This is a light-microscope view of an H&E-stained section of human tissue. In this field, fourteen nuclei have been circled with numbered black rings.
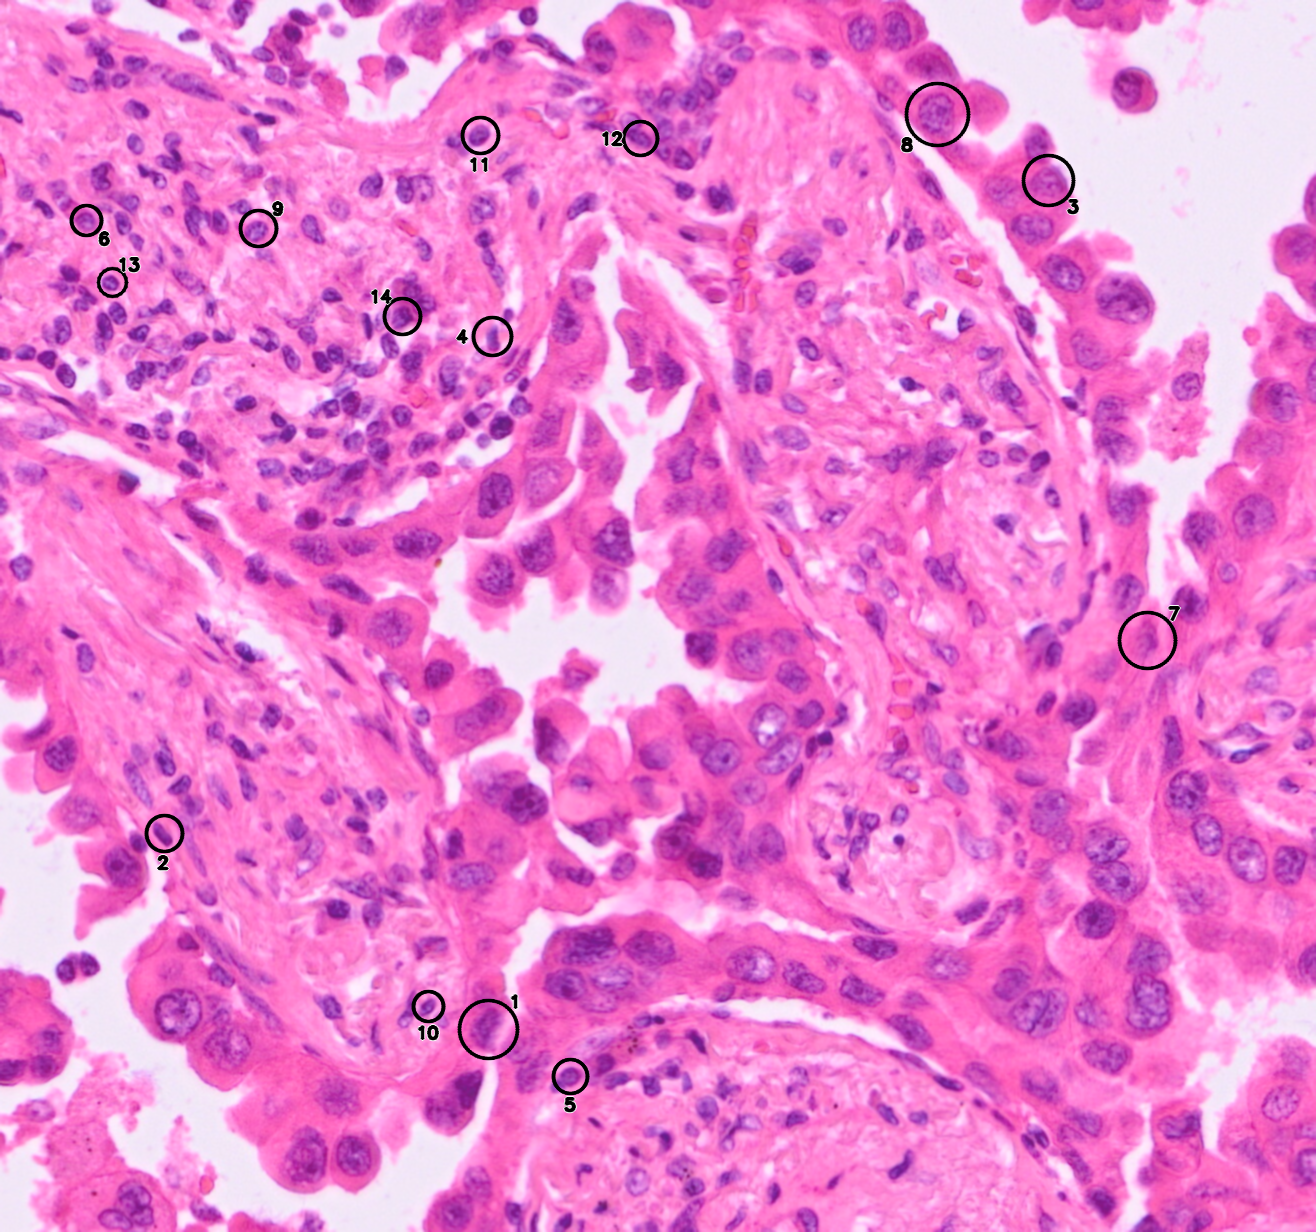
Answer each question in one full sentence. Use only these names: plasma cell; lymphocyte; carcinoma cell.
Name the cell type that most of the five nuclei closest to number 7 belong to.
Of the five nuclei nearest to number 7, most belong to carcinoma cells.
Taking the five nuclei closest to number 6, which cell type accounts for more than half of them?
Of the five nuclei nearest to number 6, most belong to lymphocytes.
